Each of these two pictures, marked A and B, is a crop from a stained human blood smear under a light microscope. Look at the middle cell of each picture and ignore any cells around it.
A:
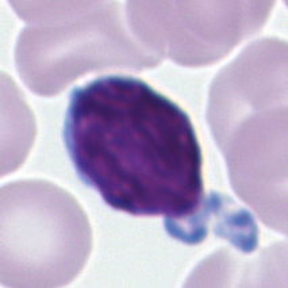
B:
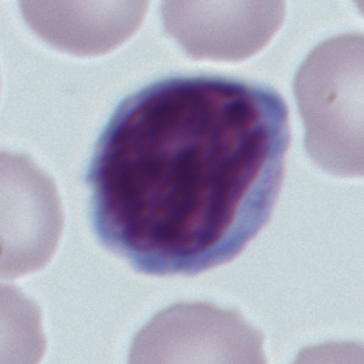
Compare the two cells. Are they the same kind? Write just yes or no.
yes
